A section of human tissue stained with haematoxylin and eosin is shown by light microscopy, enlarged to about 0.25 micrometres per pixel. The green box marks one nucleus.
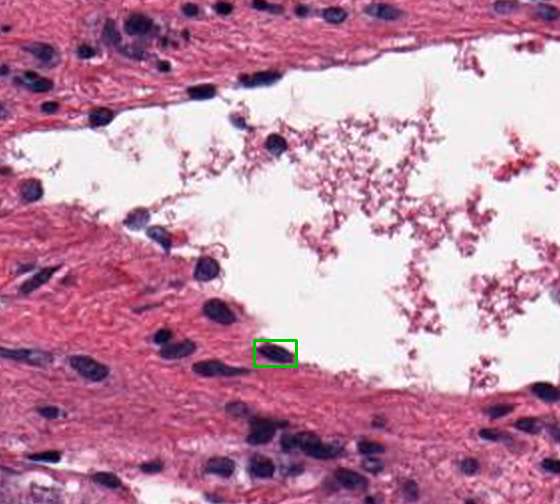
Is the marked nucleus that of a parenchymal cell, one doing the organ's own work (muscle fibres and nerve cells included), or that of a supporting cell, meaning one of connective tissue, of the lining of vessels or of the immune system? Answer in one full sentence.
Designated as that of a supporting cell is the marked nucleus.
